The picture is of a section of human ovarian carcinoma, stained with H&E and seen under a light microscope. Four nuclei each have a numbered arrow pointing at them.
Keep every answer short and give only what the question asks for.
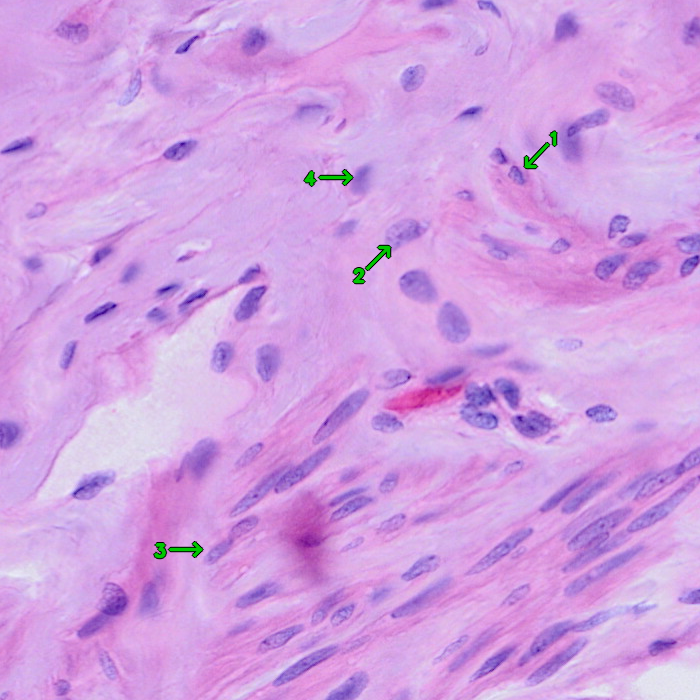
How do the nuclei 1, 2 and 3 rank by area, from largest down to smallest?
2, 3, 1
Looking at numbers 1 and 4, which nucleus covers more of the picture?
4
